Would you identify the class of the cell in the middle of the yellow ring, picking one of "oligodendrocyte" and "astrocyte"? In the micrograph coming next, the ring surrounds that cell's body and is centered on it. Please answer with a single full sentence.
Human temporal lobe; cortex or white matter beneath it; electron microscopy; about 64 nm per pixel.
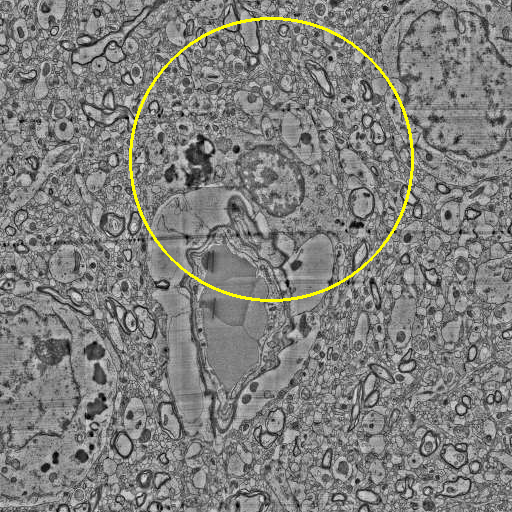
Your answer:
In the micrograph, it is an oligodendrocyte whose body lies at the ring's center.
